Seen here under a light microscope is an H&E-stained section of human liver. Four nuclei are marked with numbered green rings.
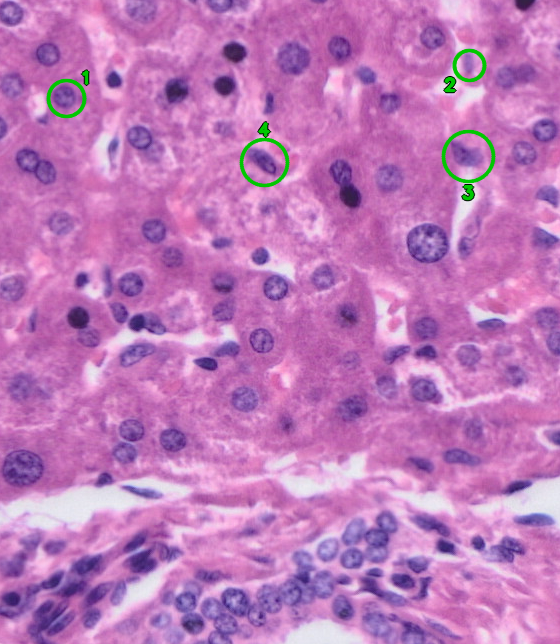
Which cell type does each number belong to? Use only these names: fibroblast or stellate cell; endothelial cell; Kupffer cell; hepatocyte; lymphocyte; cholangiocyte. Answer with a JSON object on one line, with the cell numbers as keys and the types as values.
{"1": "hepatocyte", "2": "Kupffer cell", "3": "endothelial cell", "4": "Kupffer cell"}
